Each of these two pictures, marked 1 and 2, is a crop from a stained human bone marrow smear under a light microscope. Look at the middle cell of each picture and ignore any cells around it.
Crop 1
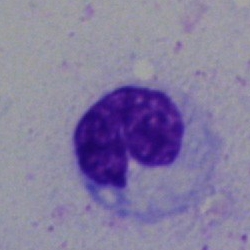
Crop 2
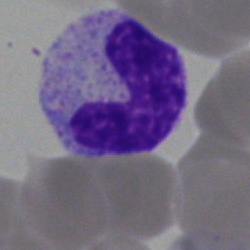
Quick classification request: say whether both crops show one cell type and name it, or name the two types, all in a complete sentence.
Yes, both crops are centred on cells that are band neutrophils.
